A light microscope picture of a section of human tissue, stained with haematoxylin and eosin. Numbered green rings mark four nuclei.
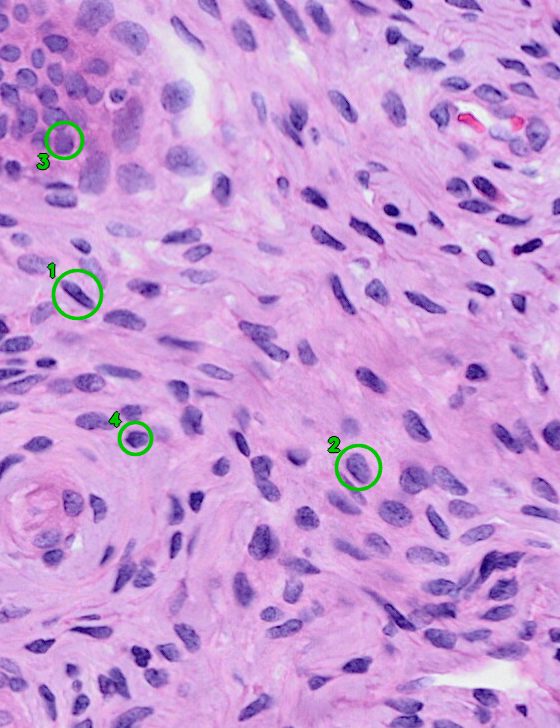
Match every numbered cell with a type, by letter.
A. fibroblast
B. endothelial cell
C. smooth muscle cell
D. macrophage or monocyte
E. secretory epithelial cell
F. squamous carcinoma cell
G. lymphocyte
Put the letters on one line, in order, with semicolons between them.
A; A; E; A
